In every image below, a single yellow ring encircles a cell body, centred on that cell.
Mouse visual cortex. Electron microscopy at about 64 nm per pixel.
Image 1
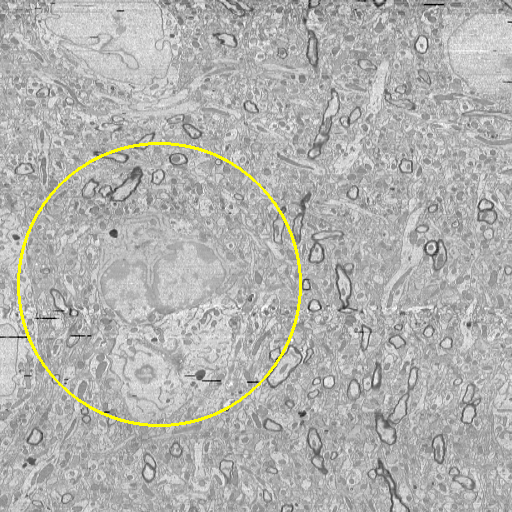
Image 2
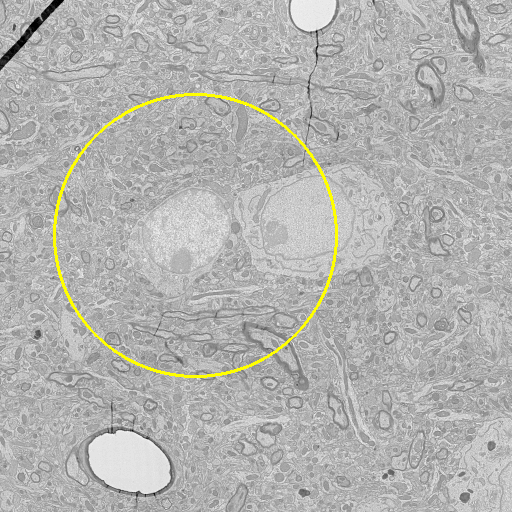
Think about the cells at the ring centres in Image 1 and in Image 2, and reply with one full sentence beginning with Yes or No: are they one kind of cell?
Yes, the cells centred in the rings of Image 1 and Image 2 are one kind of cell.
